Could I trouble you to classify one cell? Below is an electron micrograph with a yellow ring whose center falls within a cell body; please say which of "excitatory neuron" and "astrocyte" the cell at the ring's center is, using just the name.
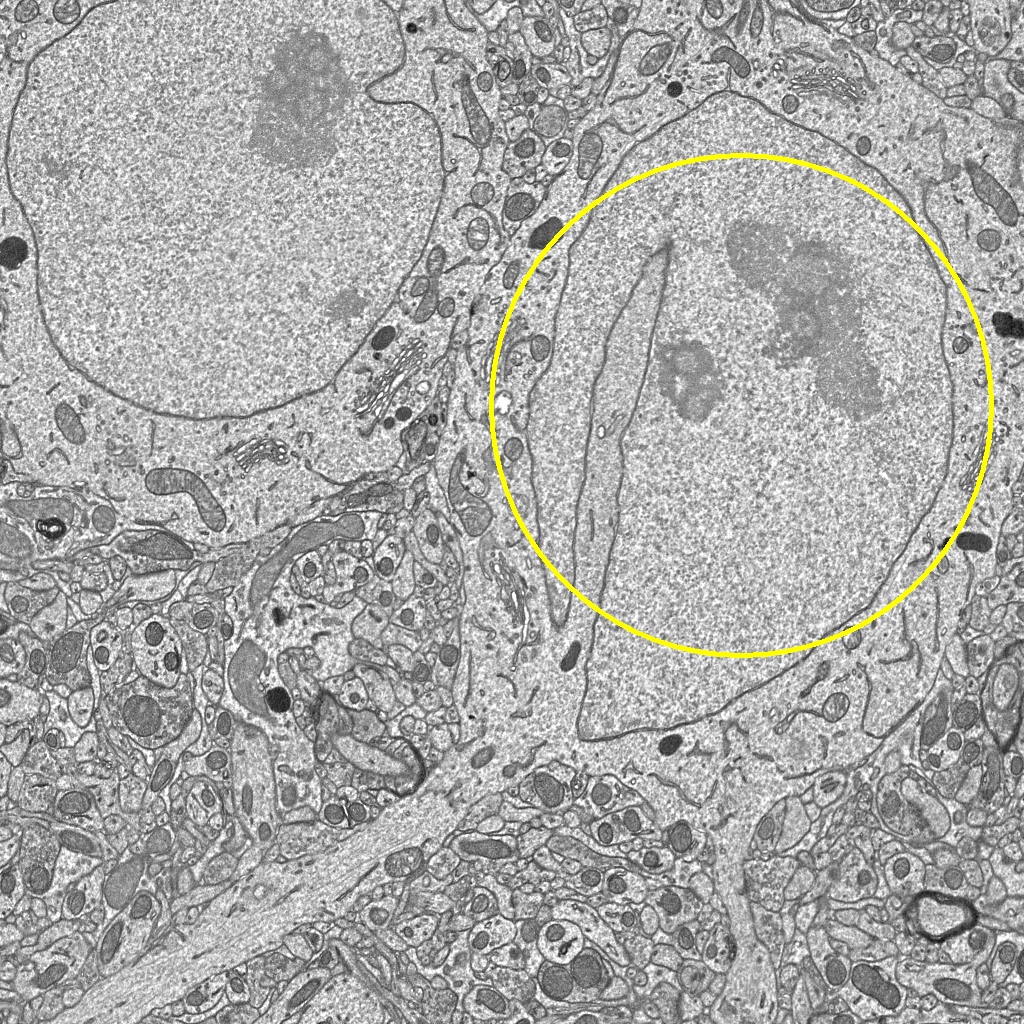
excitatory neuron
